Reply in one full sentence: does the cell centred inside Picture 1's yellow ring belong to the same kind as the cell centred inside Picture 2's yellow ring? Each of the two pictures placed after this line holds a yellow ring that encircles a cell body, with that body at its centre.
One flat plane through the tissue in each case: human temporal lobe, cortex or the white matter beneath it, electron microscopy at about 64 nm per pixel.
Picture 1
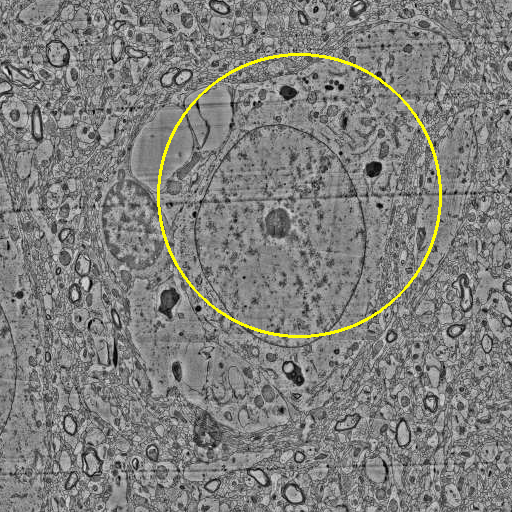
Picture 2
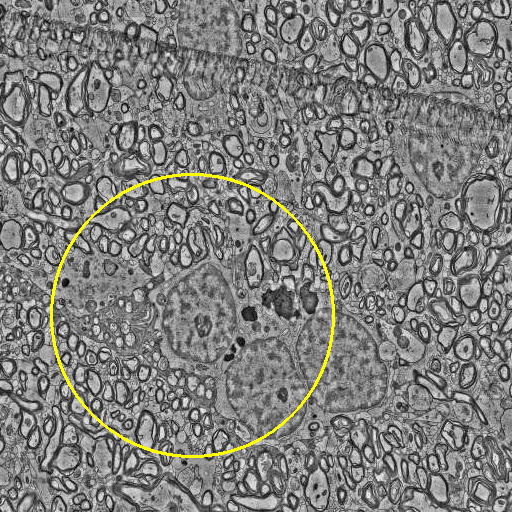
No, the ring-centred cells in Picture 1 and Picture 2 are of two separate kinds.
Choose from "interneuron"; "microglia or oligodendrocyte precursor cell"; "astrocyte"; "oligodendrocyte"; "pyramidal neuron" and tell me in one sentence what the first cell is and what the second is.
What the first ring is centred on is a pyramidal neuron; what the second ring is centred on is an oligodendrocyte.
